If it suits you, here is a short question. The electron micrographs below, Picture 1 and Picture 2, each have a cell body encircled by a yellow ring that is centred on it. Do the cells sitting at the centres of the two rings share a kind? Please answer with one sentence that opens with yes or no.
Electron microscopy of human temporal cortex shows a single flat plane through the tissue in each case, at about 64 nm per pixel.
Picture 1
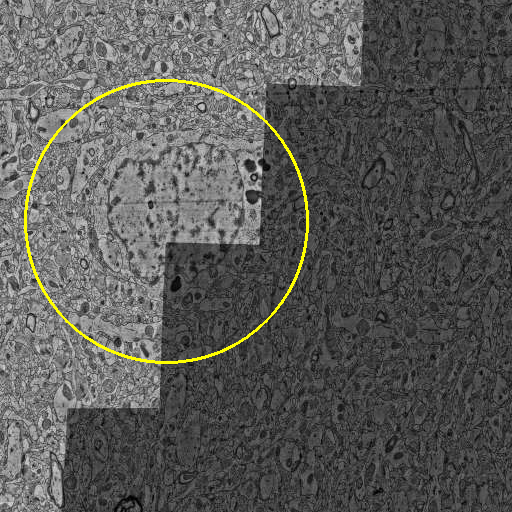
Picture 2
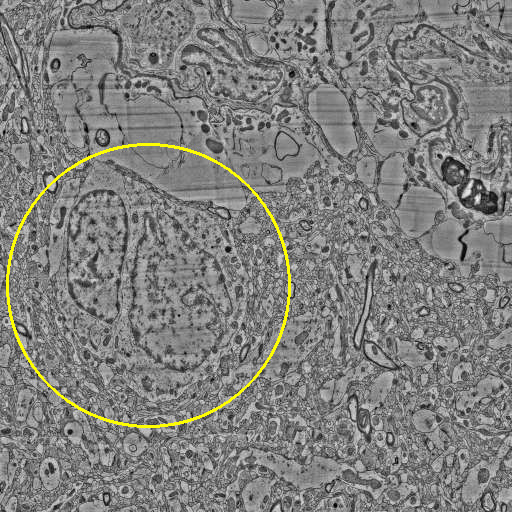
Yes, the two cells sitting at the ring centres share a single kind.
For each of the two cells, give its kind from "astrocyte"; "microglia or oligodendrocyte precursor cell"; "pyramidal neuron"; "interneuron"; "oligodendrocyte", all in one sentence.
Each cell at the centre of a ring is an interneuron.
